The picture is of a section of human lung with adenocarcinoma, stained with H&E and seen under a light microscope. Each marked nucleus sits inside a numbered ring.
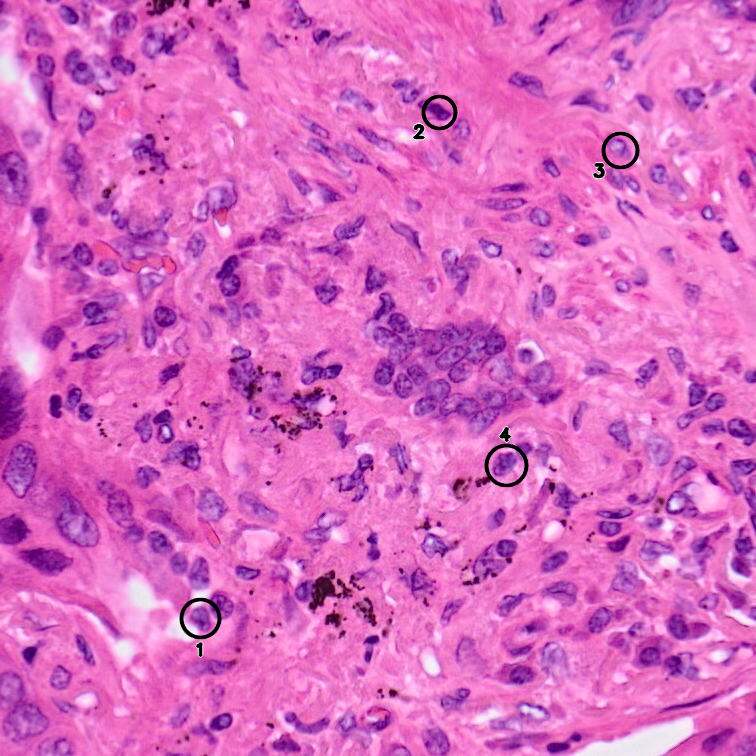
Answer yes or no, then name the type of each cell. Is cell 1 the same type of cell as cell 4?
Yes, cells 1 and 4 both fall under lymphocytes.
